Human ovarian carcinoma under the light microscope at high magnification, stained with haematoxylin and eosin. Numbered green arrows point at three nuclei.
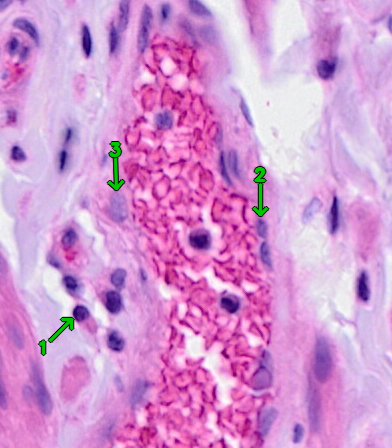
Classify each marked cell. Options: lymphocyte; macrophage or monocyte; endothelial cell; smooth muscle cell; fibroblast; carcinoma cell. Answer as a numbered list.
1. lymphocyte
2. endothelial cell
3. endothelial cell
